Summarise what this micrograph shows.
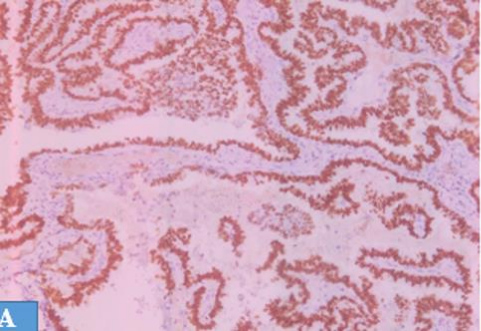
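This shows tumour cells arranged as branching papillary fronds and lined epithelial structures around pale fibrous stromal cores. The lining cells sit crowded, one to a few cells thick, and their nuclei are stained strongly brown. The stromal cells between the fronds have only blue counterstained nuclei.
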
